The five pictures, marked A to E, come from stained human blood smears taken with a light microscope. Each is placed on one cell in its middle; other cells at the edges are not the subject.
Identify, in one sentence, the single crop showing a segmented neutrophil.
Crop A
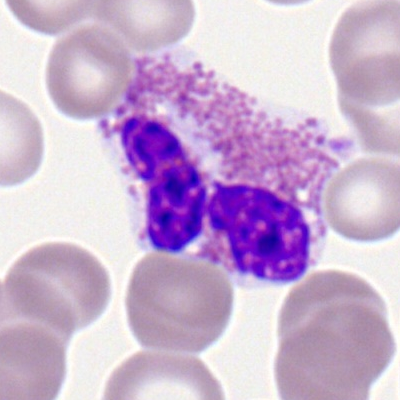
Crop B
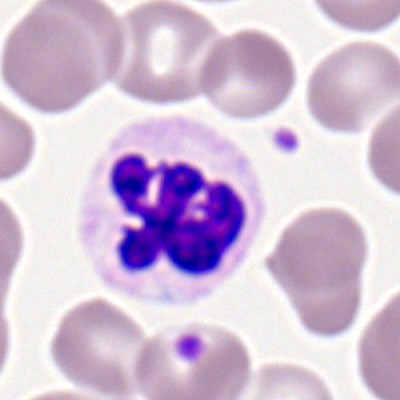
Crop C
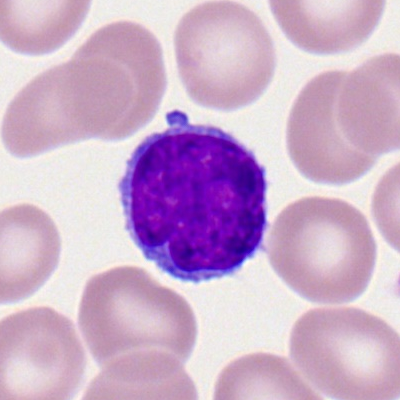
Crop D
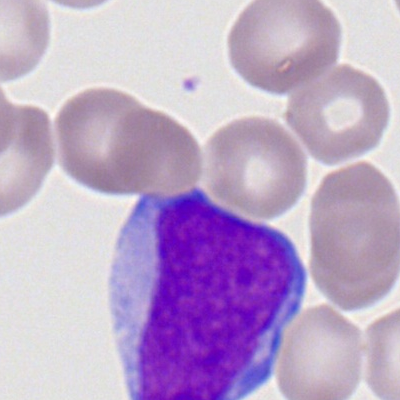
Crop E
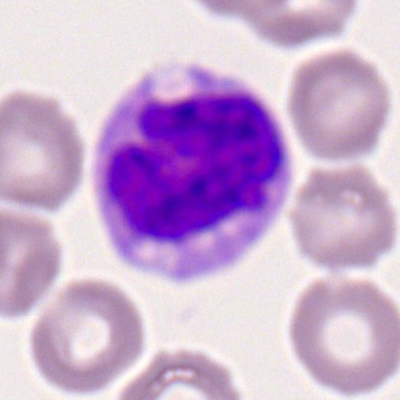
The crop showing a segmented neutrophil in this series is crop B.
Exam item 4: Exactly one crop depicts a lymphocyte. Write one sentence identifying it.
So the crop with a lymphocyte at its center is crop C.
